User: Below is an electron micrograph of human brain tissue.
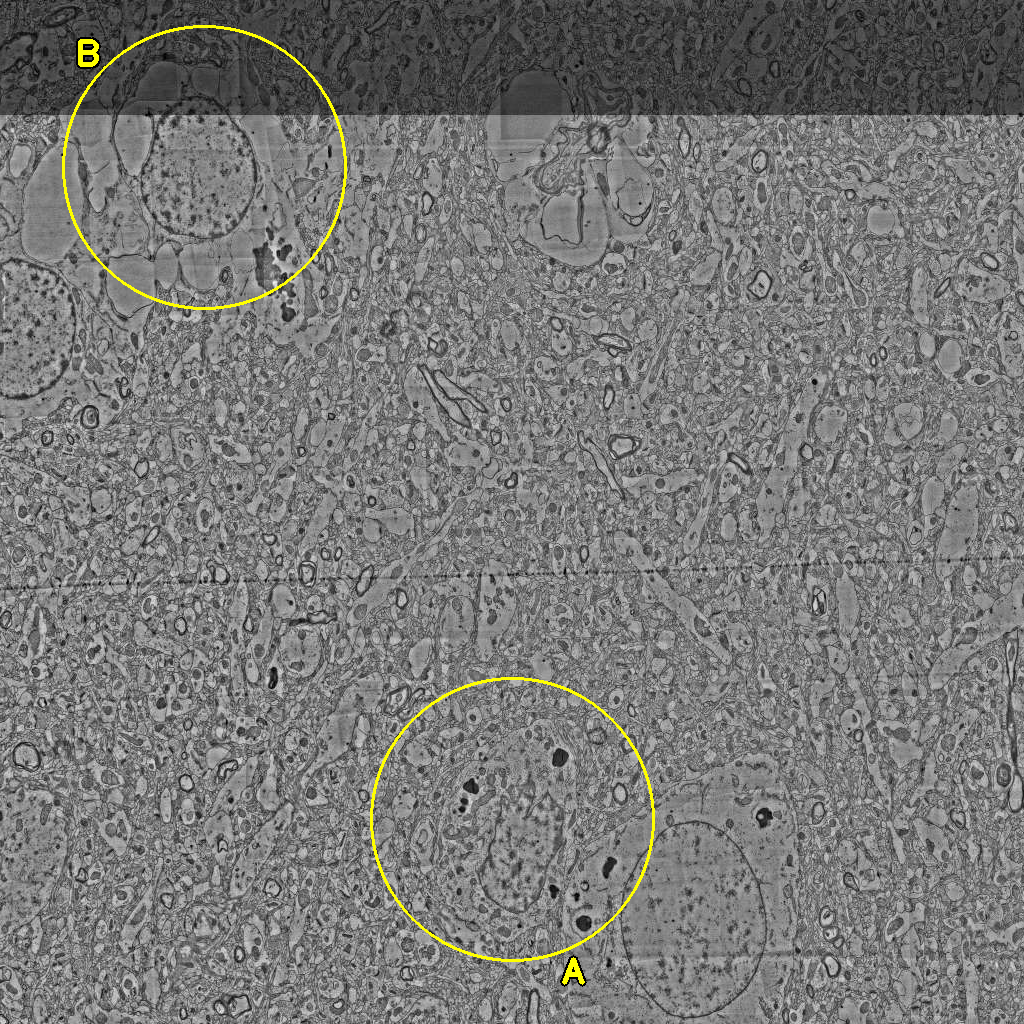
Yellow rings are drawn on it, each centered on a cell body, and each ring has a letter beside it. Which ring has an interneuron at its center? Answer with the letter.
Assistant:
A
